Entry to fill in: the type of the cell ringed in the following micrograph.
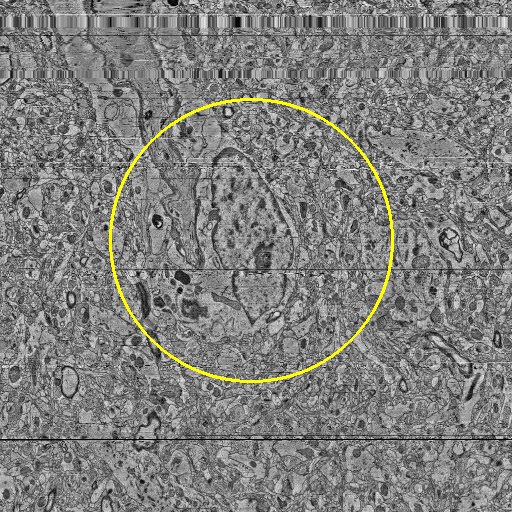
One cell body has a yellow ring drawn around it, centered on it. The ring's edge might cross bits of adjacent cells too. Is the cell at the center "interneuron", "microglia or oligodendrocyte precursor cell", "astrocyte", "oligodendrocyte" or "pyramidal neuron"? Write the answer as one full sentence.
This entry names a microglial cell or oligodendrocyte precursor cell as the cell whose body lies at the ring's center.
